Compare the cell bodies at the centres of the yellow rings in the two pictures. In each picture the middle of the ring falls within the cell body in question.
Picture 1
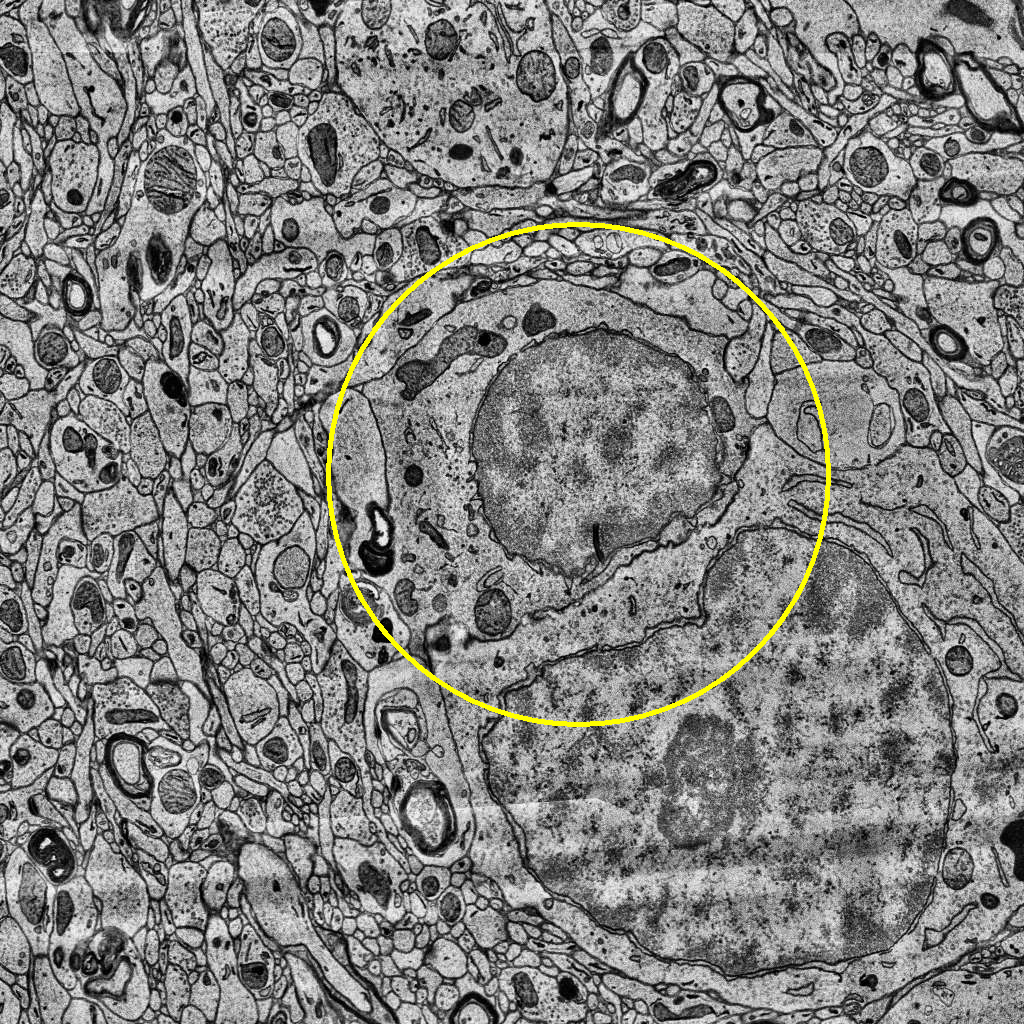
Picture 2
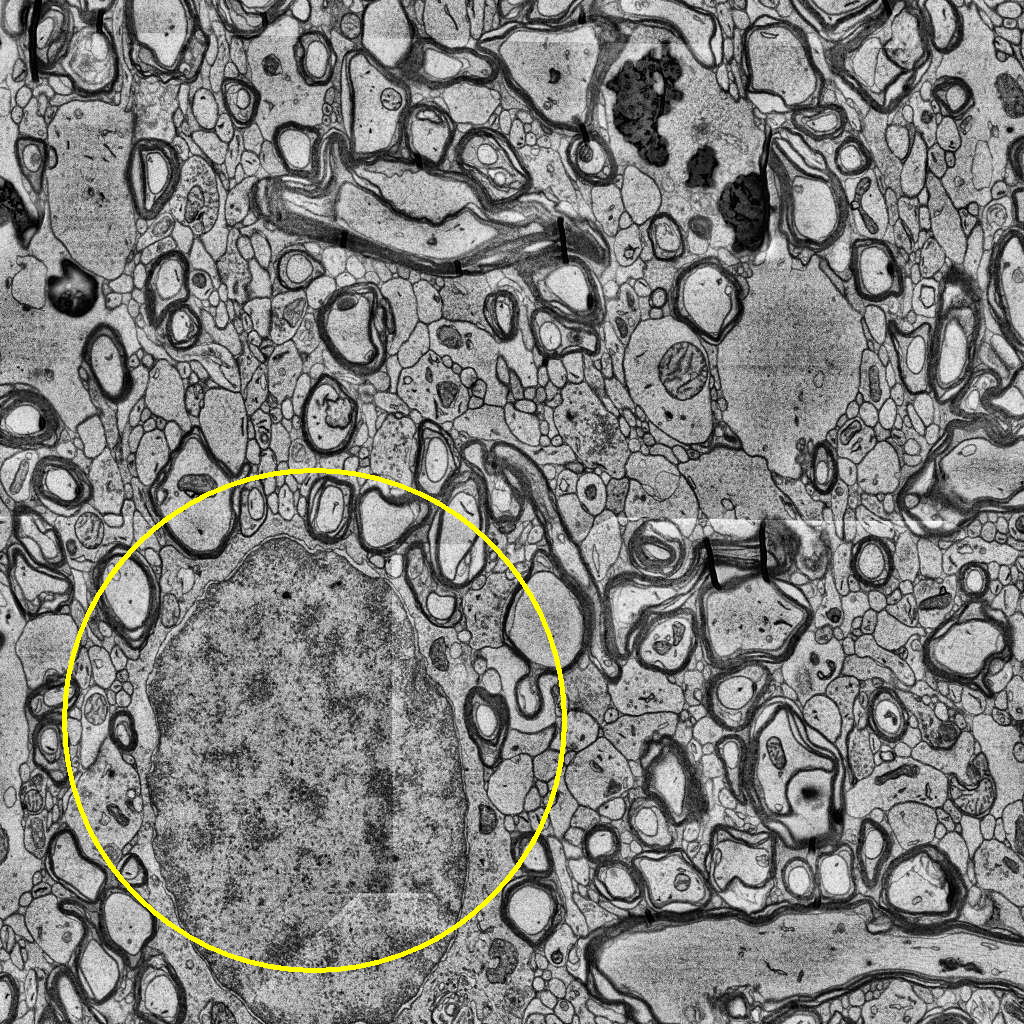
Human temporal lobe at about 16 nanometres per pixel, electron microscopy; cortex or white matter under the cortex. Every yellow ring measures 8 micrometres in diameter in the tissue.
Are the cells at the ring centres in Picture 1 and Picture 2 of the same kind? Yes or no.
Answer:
yes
